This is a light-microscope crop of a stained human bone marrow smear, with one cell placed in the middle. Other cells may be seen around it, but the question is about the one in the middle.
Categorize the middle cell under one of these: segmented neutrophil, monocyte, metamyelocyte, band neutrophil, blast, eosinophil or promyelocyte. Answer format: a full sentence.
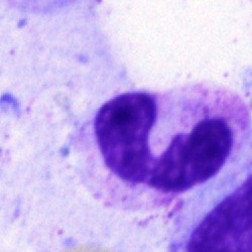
The cell in the middle of this crop is a segmented neutrophil.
